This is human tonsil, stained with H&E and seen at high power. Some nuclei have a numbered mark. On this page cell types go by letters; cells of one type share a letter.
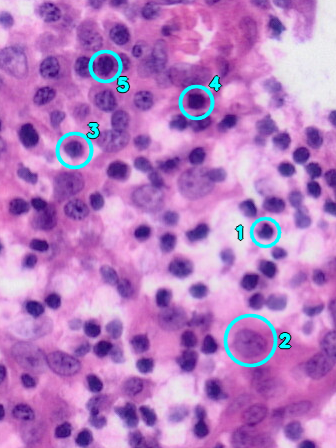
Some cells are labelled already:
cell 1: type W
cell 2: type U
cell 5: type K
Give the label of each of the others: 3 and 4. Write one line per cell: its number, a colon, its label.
3: type K
4: type K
